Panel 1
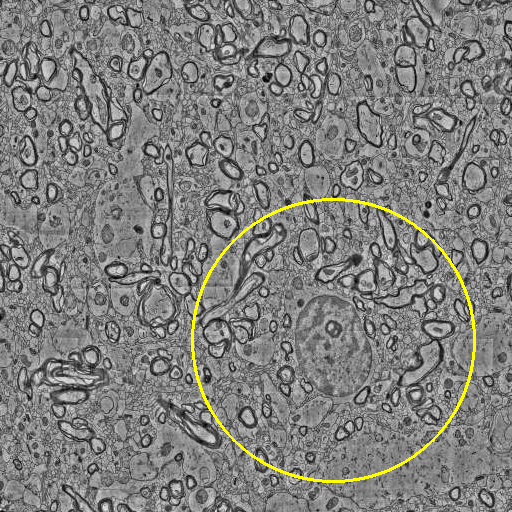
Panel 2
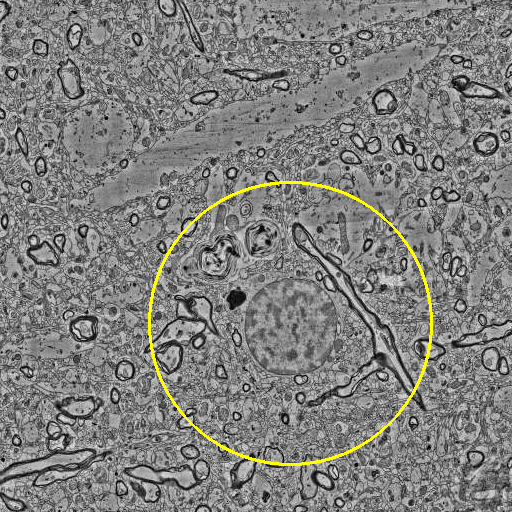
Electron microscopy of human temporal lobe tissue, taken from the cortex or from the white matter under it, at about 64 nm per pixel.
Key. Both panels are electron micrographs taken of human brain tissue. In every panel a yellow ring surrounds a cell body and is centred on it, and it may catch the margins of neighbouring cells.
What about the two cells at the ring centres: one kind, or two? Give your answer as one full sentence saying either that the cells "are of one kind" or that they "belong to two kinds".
Across Panels 1 and 2, the two cells at the ring centres are of one kind.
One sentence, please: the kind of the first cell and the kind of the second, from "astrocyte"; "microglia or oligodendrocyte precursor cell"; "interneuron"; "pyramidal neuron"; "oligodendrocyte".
Each cell, in the first picture and the second, is an oligodendrocyte.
